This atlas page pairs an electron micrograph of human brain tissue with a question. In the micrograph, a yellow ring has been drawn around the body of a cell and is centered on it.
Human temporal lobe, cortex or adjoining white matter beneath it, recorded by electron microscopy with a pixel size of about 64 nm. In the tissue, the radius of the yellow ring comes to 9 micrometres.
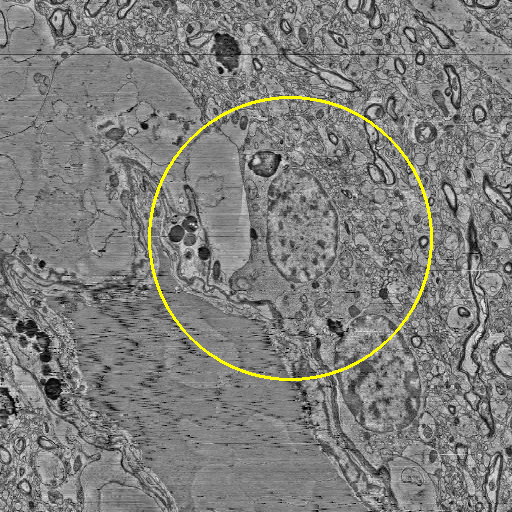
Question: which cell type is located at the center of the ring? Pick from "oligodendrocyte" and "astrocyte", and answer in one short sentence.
Located at the center of the ring is an oligodendrocyte.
